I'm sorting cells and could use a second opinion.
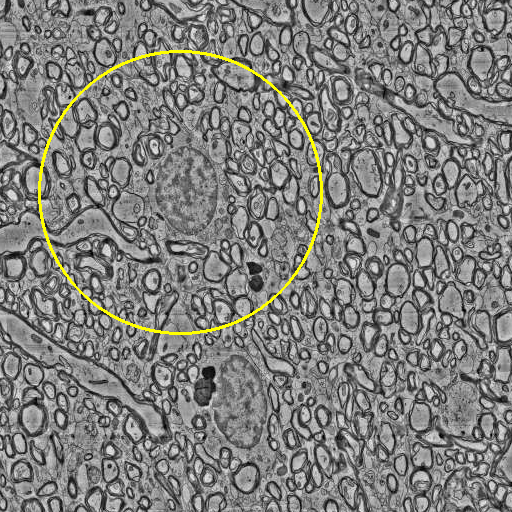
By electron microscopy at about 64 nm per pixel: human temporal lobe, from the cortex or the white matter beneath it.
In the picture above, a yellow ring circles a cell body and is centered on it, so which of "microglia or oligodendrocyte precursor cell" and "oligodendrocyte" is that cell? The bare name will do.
oligodendrocyte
